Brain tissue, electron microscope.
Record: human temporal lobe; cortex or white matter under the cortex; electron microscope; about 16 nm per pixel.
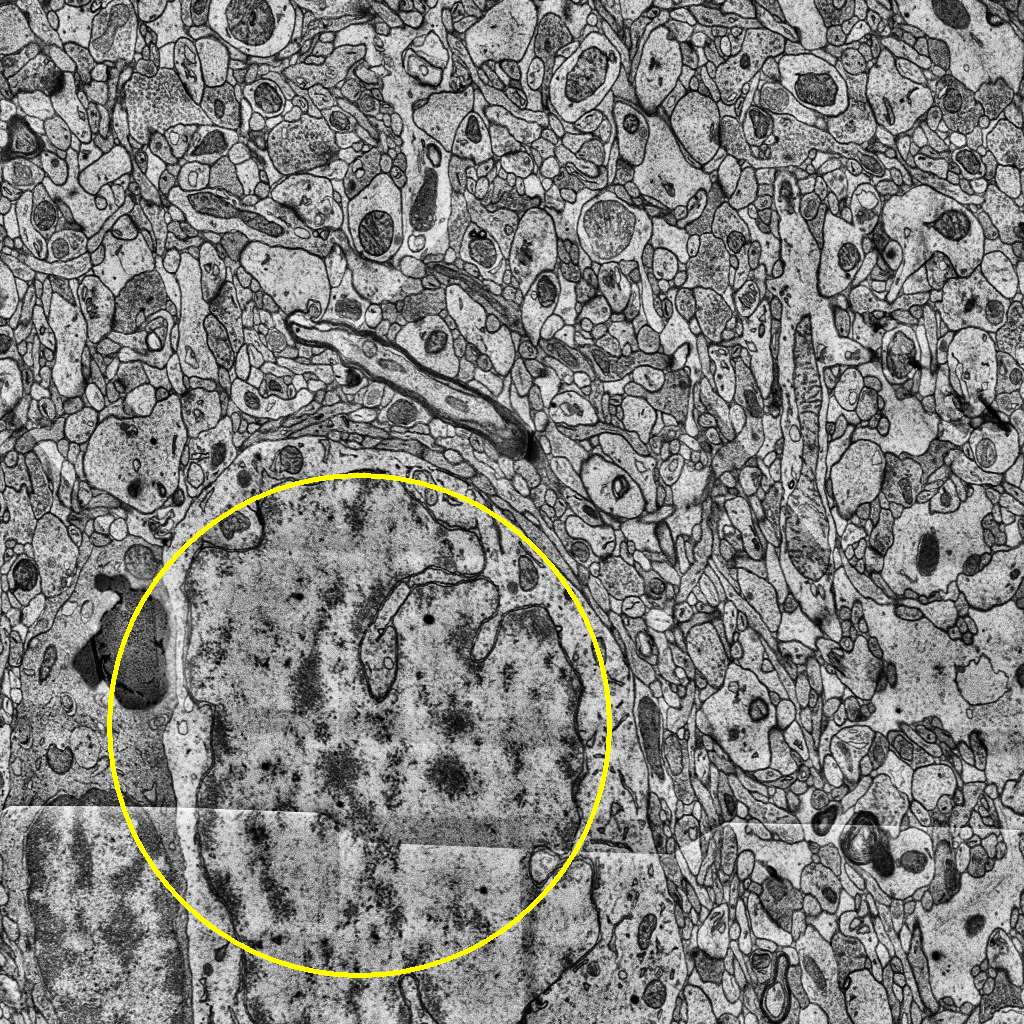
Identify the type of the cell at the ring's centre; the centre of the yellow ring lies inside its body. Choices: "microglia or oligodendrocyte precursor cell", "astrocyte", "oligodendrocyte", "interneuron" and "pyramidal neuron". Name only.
interneuron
